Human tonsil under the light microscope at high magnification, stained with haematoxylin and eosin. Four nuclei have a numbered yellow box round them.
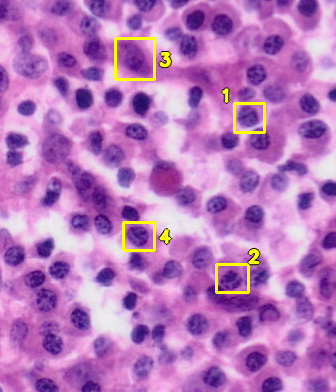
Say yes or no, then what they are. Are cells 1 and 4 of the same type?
Yes, in terms of cell type, cells 1 and 4 are both plasma cells.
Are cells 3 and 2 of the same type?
No, the identities are a squamous epithelial cell for cell 3 and a plasma cell for cell 2.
